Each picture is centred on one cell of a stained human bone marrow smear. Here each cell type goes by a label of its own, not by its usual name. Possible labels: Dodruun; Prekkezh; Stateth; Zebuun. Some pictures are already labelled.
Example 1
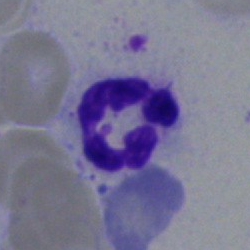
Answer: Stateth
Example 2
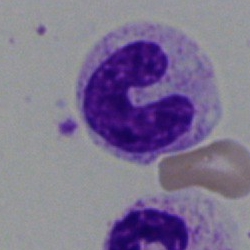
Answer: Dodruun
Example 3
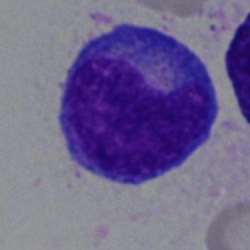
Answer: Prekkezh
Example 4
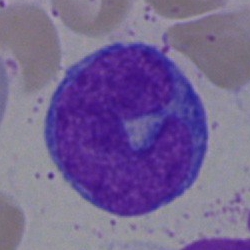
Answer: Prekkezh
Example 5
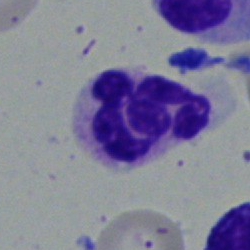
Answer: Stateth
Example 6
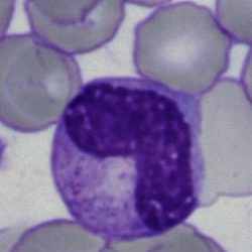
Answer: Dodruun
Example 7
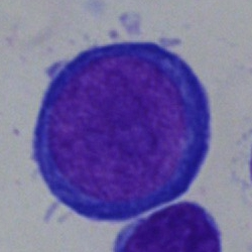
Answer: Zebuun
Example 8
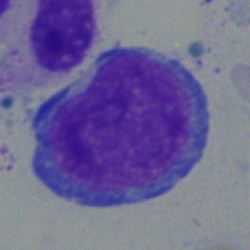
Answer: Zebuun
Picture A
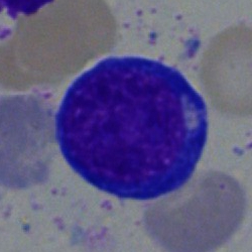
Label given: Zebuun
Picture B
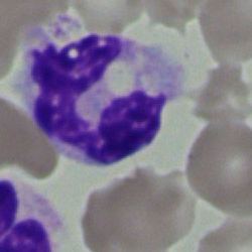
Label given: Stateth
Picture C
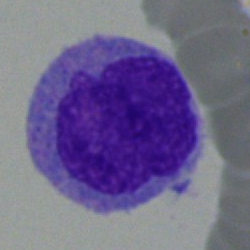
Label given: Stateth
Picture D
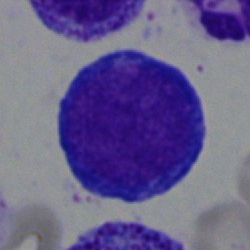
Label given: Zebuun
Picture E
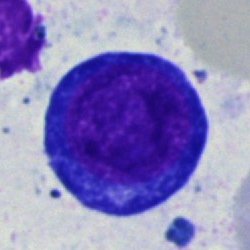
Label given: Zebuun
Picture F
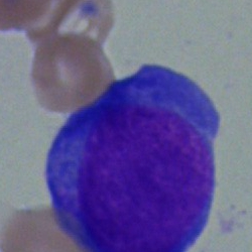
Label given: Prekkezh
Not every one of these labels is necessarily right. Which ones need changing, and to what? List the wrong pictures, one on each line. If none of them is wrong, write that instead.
C: Prekkezh, not Stateth
F: Zebuun, not Prekkezh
